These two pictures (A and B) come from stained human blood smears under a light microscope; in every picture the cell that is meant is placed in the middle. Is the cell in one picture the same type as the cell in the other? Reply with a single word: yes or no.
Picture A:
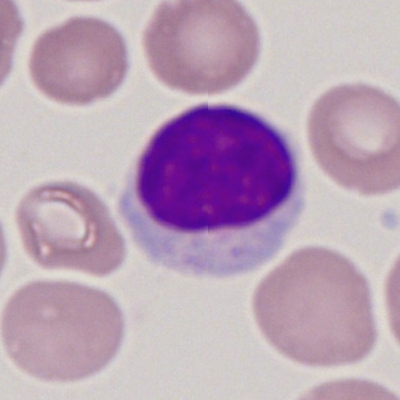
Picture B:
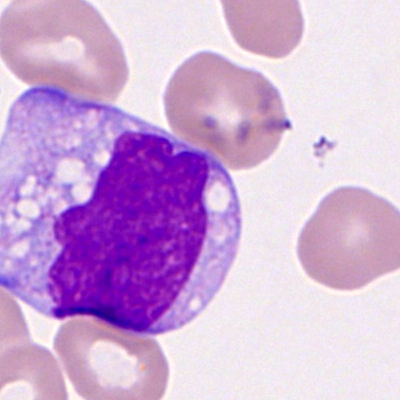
no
